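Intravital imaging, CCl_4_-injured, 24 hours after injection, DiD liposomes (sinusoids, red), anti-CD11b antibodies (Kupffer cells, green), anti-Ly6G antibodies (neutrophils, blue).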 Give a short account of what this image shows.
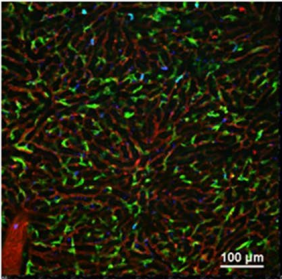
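The red forms a dense, branching mesh of narrow channels, with a larger red vessel at the lower left corner; the dark spaces between the red lines are where the plates of liver cells lie unlabelled. The green cells are numerous and spread evenly; they are elongated and branched, and they sit along and within the red channels, their shapes following the mesh.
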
